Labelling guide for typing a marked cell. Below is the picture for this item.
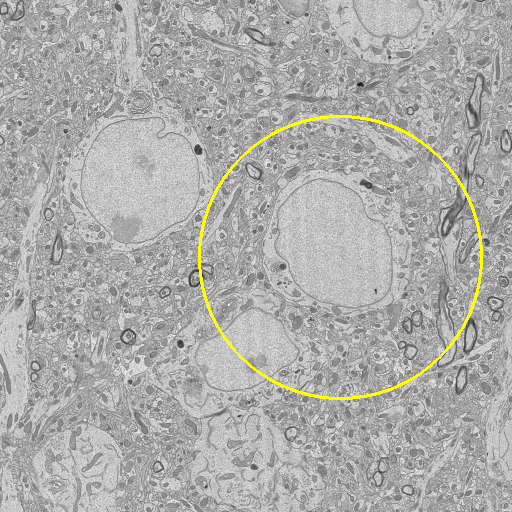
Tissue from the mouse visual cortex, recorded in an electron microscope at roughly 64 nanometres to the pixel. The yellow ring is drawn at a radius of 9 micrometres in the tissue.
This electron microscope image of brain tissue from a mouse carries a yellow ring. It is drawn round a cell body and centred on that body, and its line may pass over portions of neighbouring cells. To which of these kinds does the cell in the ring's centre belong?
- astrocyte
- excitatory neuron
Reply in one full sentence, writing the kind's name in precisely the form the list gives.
Here we have an excitatory neuron at the centre of the yellow ring in the picture.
